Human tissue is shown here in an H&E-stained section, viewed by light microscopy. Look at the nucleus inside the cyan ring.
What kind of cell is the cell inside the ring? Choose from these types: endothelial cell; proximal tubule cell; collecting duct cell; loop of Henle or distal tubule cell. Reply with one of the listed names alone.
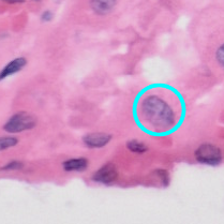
proximal tubule cell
